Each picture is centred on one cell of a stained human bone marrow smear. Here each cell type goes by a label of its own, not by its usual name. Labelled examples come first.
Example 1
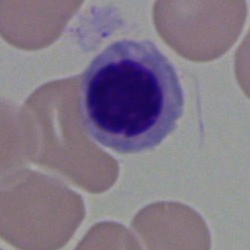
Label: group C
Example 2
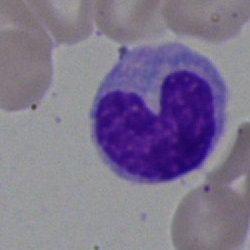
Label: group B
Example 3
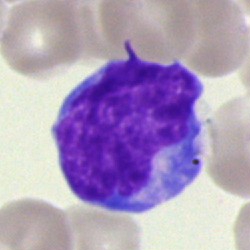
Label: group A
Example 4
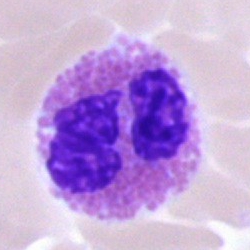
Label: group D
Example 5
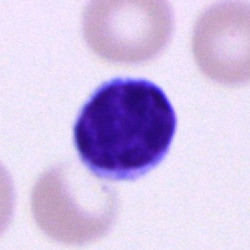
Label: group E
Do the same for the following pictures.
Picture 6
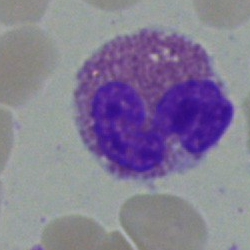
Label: group D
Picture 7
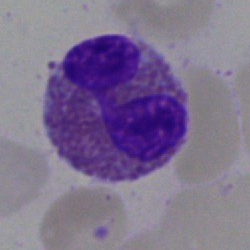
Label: group D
